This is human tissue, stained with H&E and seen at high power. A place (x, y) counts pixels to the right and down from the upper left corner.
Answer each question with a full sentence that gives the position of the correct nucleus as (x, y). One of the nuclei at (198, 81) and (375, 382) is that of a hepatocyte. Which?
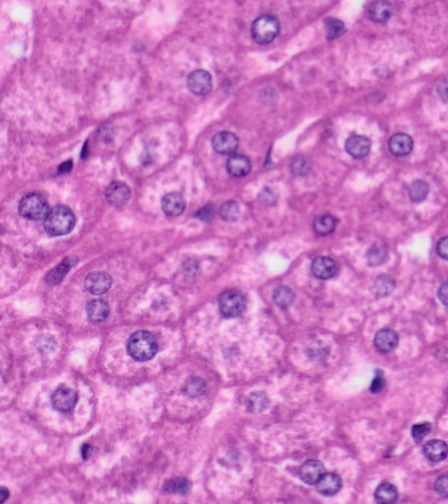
Among the two nuclei, the one found at (198, 81) belongs to a hepatocyte.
